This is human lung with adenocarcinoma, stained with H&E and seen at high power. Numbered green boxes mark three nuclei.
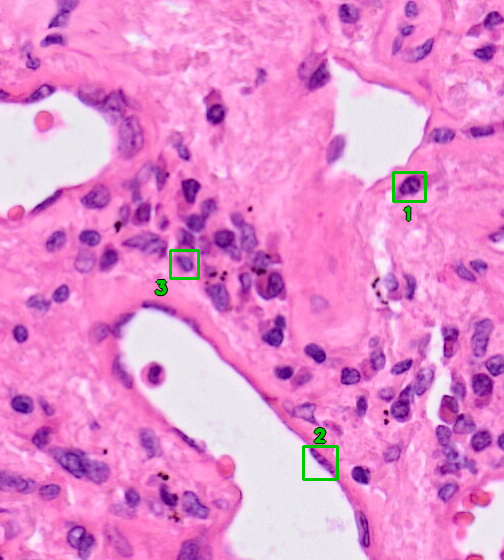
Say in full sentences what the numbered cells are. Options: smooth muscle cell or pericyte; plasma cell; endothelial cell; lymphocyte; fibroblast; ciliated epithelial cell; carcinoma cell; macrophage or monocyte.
Cell 1 is a plasma cell. Cell 2 is an endothelial cell. Cell 3 is a lymphocyte.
